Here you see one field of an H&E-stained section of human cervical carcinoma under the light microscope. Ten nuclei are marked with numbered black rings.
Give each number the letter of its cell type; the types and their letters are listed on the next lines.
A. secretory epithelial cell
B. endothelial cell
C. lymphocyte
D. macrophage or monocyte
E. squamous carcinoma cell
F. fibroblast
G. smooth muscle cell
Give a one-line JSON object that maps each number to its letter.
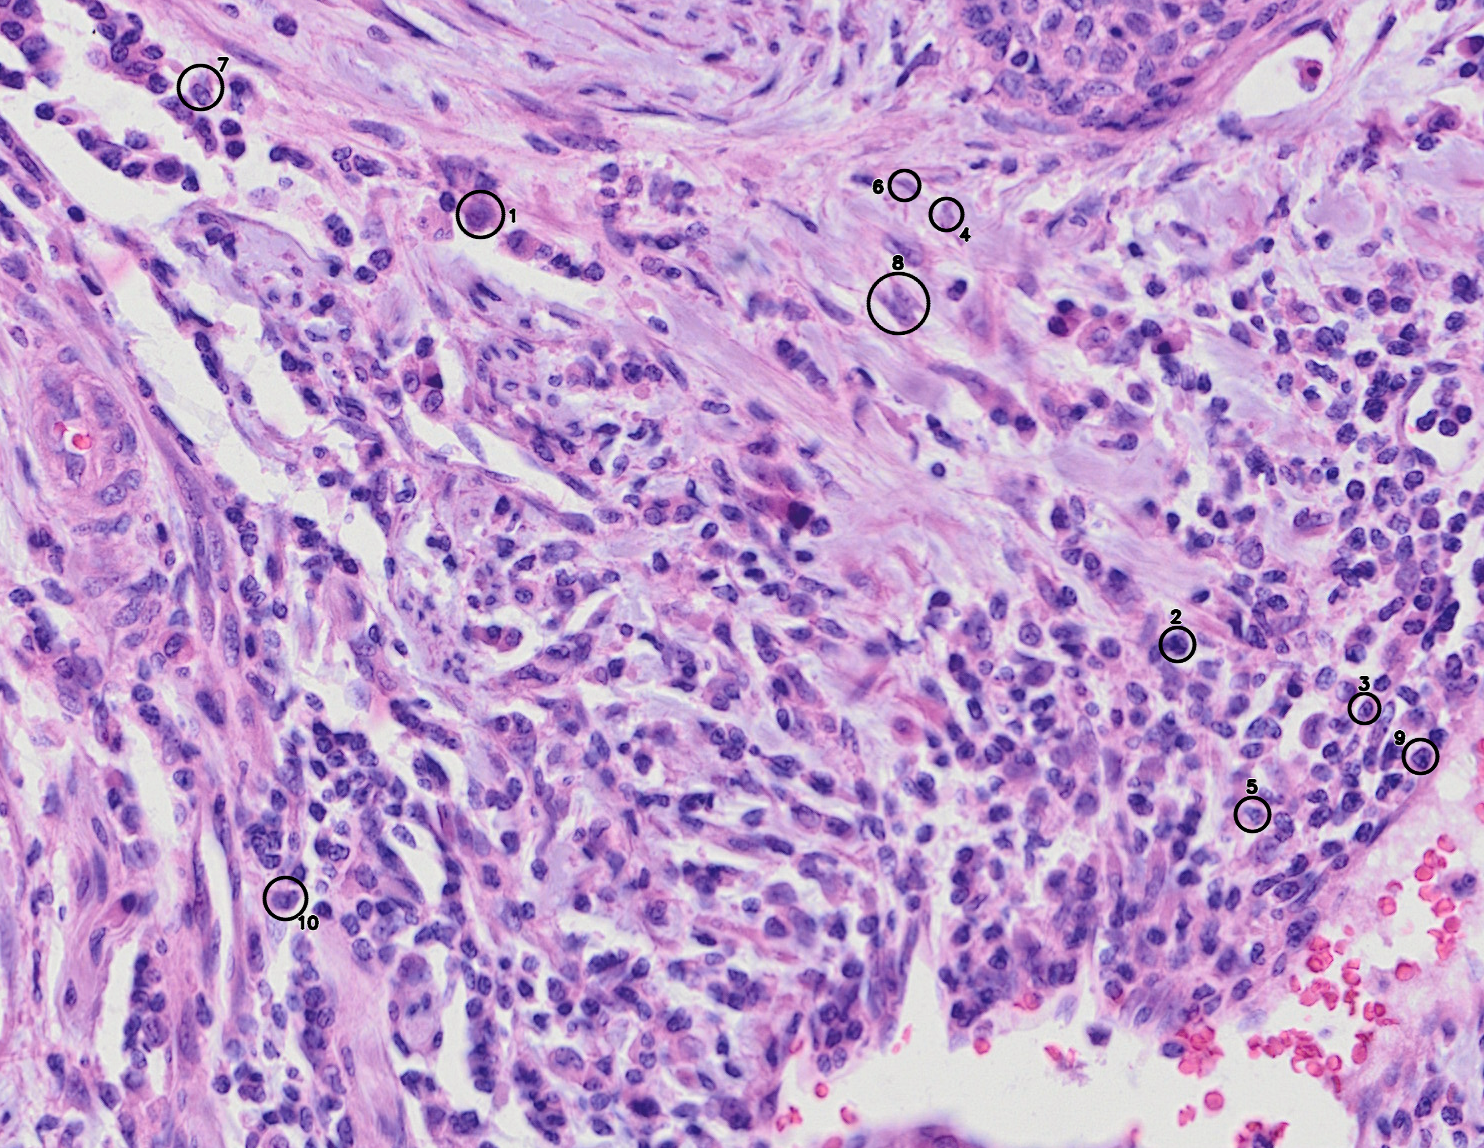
{"1": "D", "2": "C", "3": "C", "4": "F", "5": "C", "6": "F", "7": "C", "8": "F", "9": "C", "10": "C"}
